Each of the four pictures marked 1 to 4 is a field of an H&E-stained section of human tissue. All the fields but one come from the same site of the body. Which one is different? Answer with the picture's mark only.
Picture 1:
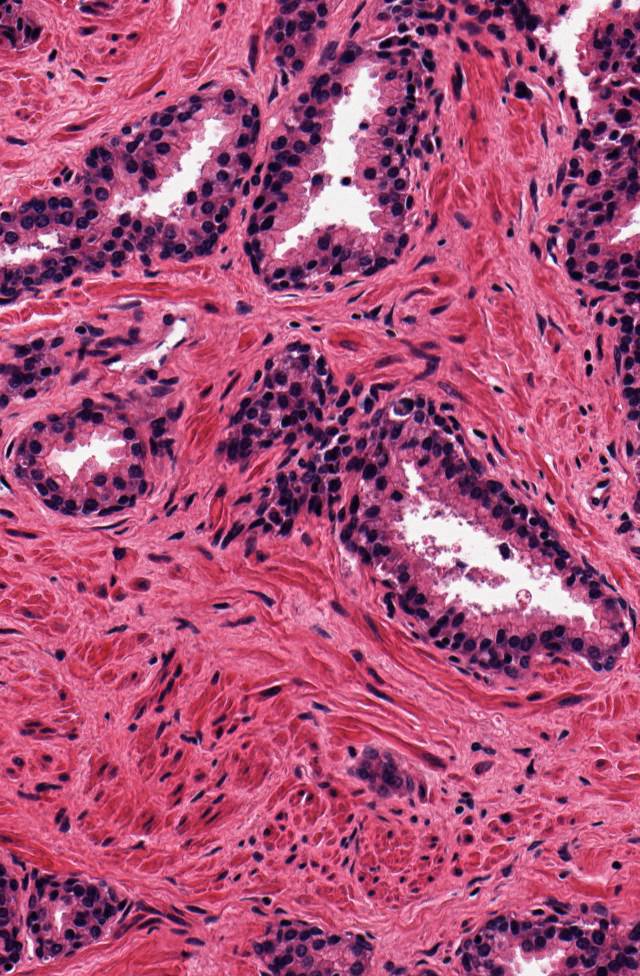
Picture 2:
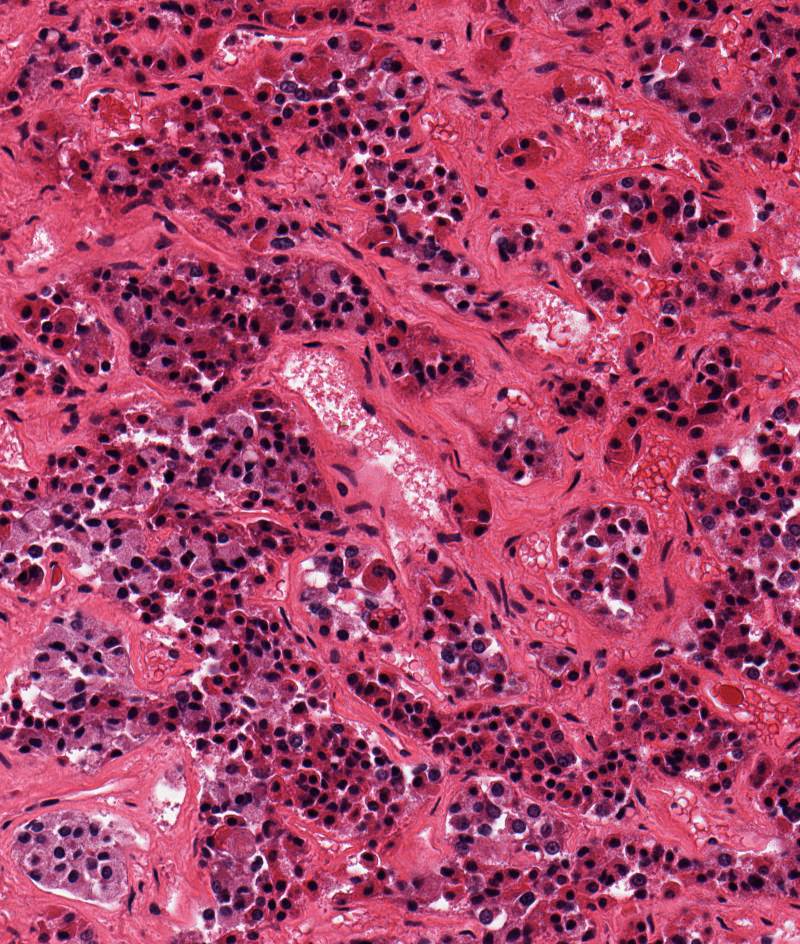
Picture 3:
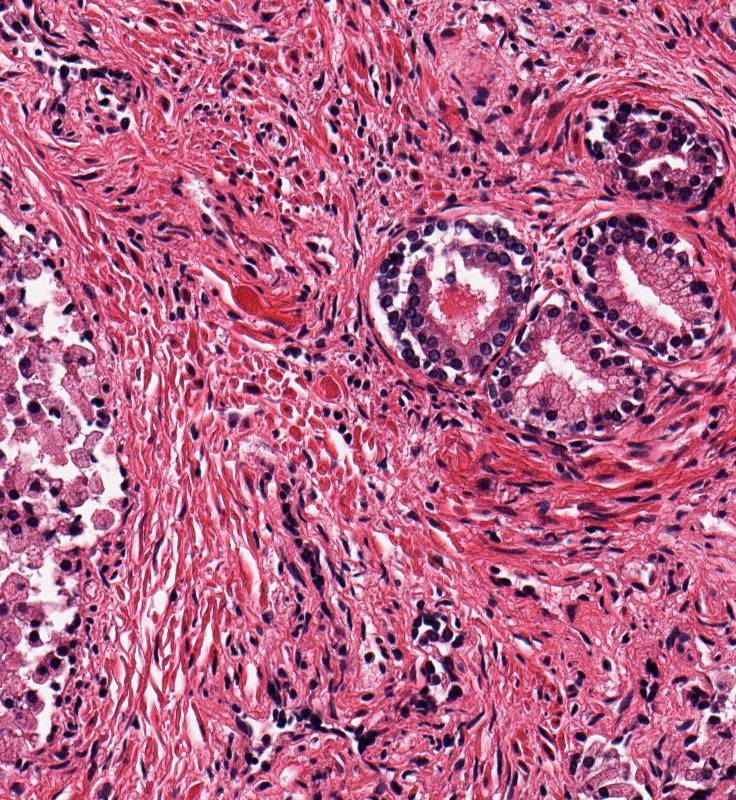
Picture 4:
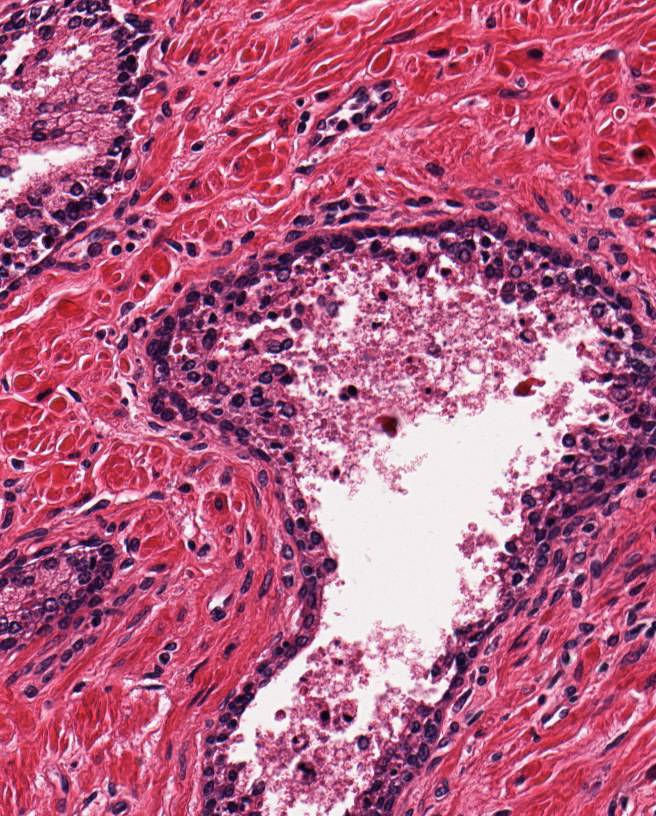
2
